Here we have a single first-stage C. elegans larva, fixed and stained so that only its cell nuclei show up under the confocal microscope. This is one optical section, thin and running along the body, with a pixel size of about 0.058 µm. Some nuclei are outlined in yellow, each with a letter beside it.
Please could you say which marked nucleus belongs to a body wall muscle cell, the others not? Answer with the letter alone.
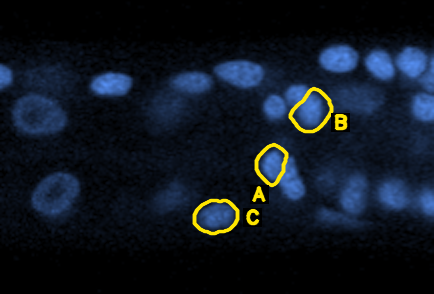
C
